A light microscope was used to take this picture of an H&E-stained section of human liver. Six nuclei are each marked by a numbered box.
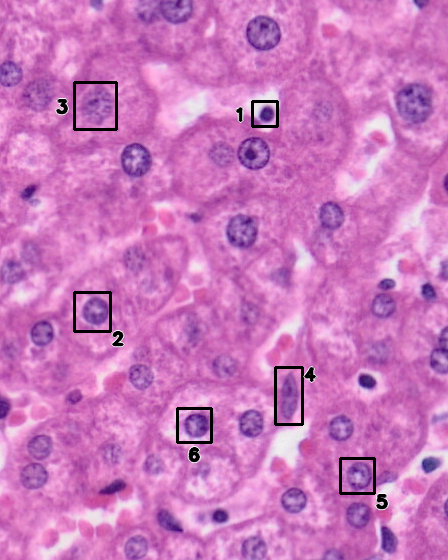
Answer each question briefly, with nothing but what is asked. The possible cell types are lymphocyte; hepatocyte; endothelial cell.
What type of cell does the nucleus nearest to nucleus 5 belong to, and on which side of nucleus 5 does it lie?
an endothelial cell to the right of nucleus 5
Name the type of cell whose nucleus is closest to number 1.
hepatocyte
